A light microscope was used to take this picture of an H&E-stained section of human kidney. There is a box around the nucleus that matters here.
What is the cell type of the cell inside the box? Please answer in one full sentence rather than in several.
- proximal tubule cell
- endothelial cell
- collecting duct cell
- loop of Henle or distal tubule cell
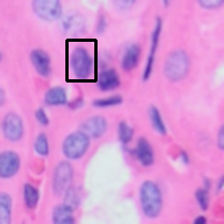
In this section, the cell inside the box is a collecting duct cell.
